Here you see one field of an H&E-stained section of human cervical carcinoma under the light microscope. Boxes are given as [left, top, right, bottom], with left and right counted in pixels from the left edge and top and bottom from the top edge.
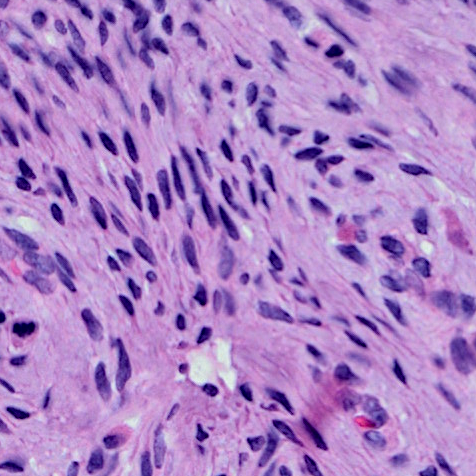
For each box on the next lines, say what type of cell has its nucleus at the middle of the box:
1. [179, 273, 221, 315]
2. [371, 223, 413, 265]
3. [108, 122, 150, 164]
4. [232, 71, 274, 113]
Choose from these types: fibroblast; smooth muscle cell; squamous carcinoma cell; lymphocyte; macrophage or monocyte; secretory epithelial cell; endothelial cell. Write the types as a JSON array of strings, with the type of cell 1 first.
["fibroblast", "endothelial cell", "fibroblast", "fibroblast"]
